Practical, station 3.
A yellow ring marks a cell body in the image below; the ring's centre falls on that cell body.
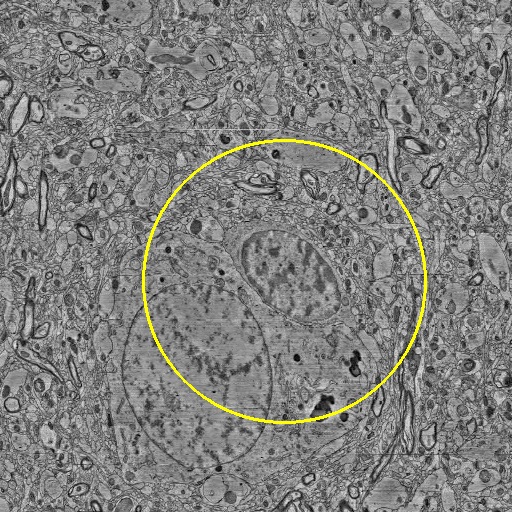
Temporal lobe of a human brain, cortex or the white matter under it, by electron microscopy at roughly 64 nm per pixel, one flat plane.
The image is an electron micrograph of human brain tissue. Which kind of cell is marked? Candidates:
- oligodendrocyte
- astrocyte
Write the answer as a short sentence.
The marked cell body is that of an oligodendrocyte.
